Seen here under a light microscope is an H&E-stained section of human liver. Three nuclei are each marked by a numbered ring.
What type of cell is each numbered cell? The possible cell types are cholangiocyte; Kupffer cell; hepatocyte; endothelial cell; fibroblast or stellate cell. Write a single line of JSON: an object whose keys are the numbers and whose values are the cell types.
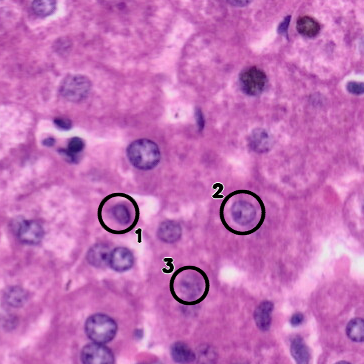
{"1": "Kupffer cell", "2": "hepatocyte", "3": "hepatocyte"}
